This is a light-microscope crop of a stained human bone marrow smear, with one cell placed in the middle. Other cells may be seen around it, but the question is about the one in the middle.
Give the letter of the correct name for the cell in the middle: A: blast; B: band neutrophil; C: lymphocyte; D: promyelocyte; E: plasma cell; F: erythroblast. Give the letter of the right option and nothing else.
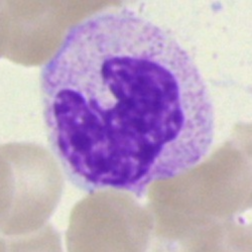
B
